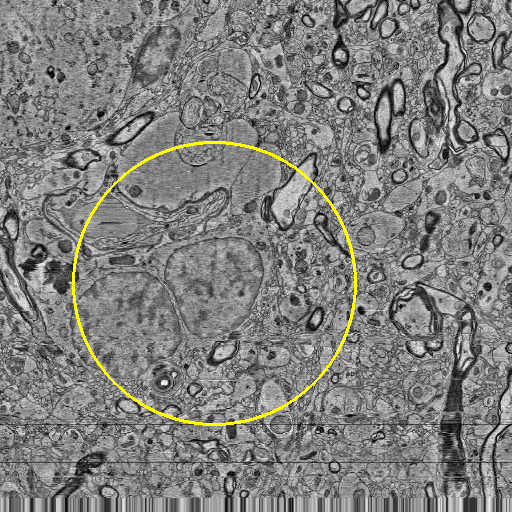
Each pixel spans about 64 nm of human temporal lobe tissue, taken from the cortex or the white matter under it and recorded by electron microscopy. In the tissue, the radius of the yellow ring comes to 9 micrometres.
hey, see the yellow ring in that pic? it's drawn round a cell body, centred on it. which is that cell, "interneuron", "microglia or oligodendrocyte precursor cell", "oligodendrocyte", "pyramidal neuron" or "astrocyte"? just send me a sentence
The cell in the ring is an oligodendrocyte.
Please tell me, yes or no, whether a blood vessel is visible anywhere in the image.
Yes, one shows.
